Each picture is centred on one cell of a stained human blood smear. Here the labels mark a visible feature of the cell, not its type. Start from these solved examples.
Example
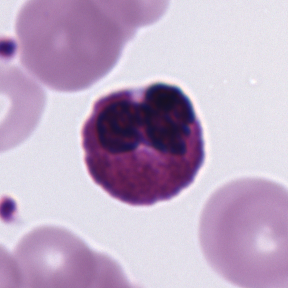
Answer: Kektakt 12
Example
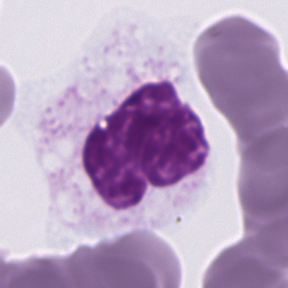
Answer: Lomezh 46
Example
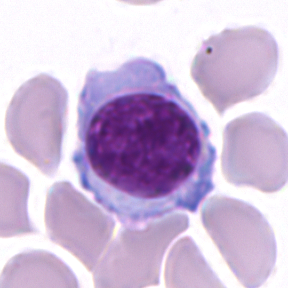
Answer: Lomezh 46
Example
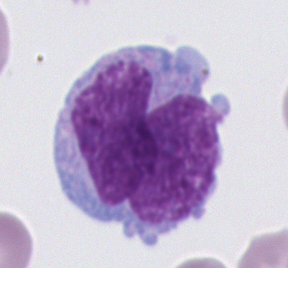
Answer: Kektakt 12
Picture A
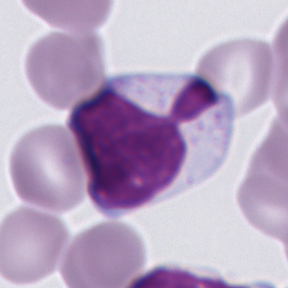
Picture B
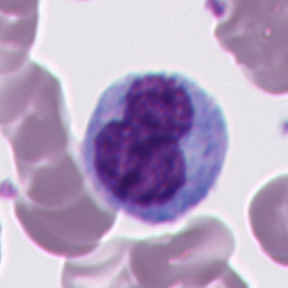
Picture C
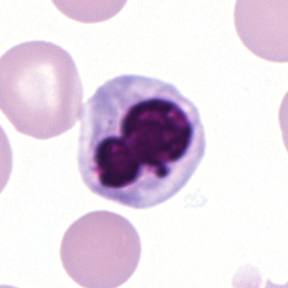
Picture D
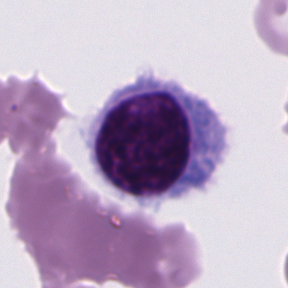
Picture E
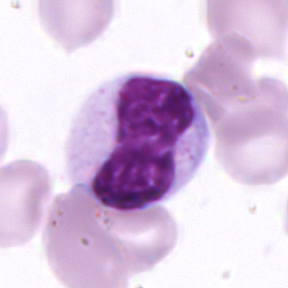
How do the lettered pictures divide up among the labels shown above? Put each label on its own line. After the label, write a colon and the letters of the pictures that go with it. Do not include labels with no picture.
Kektakt 12: A, B, C, E
Lomezh 46: D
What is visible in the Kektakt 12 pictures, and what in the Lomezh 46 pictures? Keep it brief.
Kektakt 12: lobed nucleus; Lomezh 46: single compact nucleus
